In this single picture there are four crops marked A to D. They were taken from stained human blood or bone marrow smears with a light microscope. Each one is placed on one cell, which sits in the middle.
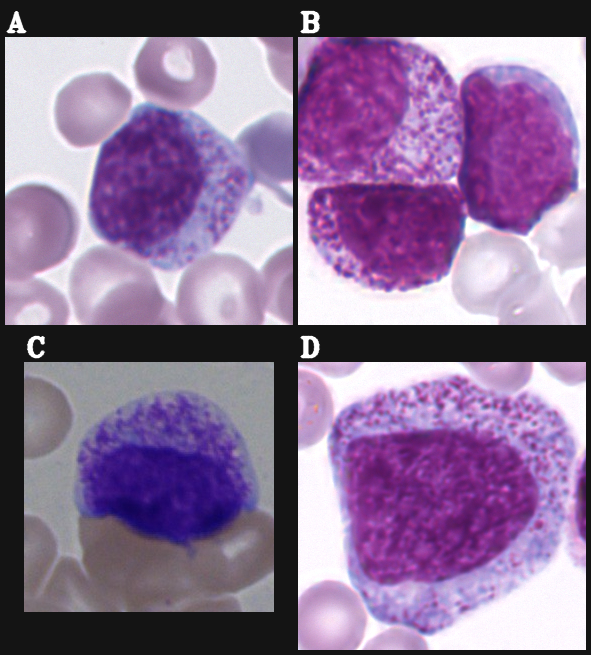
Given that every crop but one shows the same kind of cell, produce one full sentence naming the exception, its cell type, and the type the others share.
Crop D differs, its cell being a promyelocyte, whereas the other crops show myelocytes.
